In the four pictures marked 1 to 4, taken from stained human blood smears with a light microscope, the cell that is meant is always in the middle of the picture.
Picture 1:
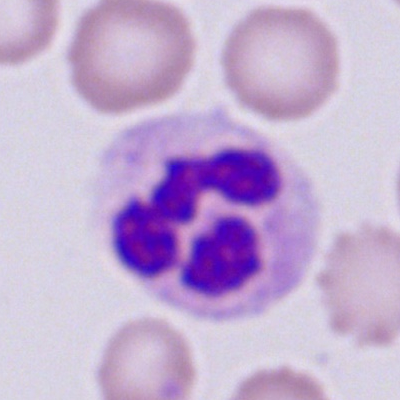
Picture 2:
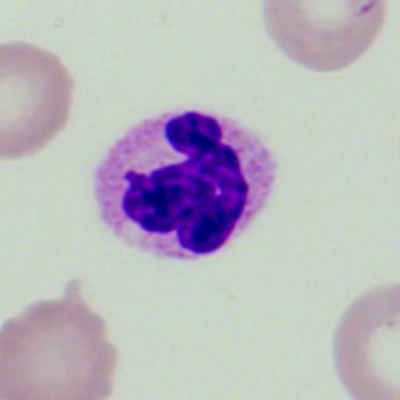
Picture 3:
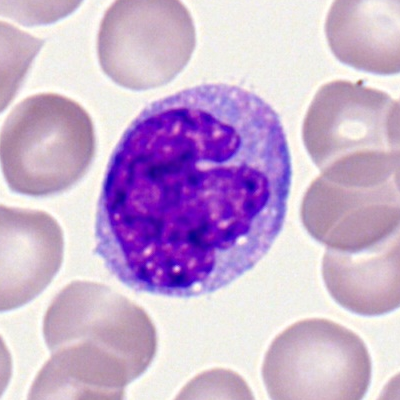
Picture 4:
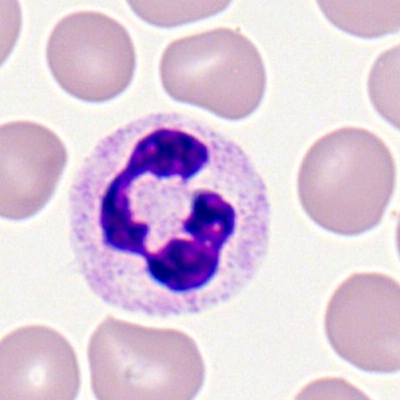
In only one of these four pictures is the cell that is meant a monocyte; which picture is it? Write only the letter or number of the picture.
3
